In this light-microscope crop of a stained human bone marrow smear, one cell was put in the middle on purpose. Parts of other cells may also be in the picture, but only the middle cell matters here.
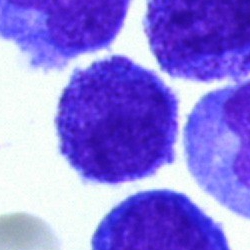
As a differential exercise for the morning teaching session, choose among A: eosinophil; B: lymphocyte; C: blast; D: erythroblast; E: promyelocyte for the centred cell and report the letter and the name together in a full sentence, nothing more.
Option C is correct, naming the cell in the middle as a blast.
